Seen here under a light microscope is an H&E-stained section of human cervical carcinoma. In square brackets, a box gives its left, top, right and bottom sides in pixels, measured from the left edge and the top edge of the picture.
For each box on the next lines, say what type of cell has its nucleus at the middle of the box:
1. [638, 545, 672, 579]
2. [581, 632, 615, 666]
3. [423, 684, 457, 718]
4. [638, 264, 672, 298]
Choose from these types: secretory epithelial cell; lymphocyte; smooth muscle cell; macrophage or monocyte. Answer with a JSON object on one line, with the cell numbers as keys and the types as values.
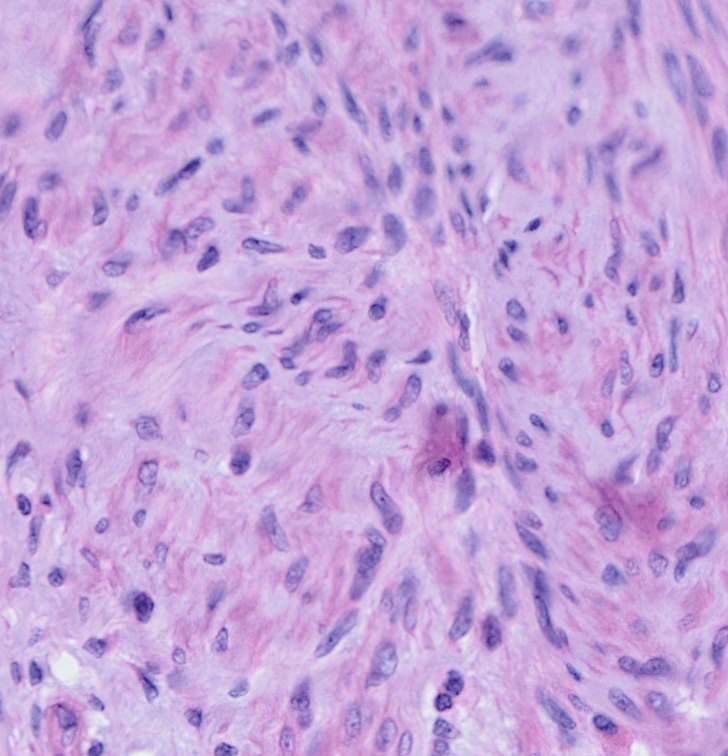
{"1": "smooth muscle cell", "2": "smooth muscle cell", "3": "lymphocyte", "4": "smooth muscle cell"}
